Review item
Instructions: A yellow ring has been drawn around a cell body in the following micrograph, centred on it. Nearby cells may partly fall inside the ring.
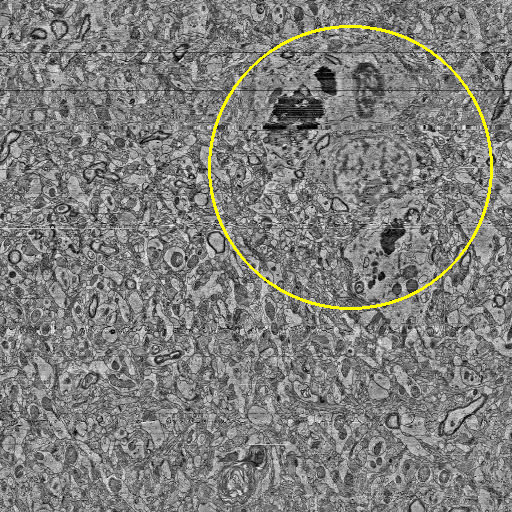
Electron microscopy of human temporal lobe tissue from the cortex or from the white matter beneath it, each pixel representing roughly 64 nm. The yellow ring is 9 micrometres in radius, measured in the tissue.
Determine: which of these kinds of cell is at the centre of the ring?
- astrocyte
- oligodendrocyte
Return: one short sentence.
The cell body in the middle of the ring is that of an oligodendrocyte.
